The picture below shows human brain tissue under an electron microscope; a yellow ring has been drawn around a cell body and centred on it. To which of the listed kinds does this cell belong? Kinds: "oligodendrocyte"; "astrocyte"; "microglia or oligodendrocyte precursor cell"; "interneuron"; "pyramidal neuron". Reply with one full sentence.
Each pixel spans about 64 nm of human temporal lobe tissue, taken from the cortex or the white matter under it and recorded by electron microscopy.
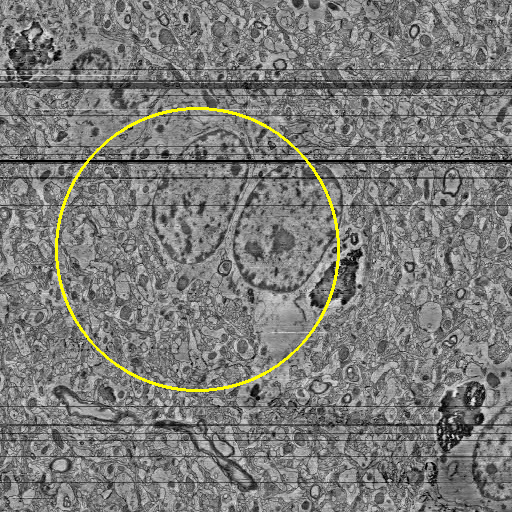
It is an astrocyte that the yellow ring in the picture is centred on.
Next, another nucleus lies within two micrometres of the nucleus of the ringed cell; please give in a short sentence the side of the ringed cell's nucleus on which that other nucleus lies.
The other one lies to the right of it.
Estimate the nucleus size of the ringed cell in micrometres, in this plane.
In this plane, the nucleus of the cell at the centre of the ring measures about 7 by 5 micrometres.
